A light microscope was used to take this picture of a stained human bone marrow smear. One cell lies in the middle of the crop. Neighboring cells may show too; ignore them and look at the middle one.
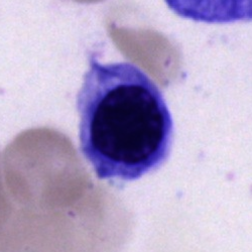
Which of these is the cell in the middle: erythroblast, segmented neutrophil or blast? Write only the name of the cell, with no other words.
erythroblast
